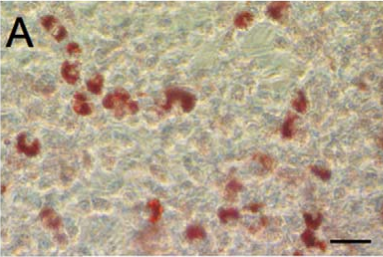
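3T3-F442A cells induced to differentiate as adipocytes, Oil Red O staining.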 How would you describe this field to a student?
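Many scattered cells hold clusters of deep red droplets in their cytoplasm, often forming rounded or crescent-shaped groups. The surrounding cells are flat, closely packed and unstained, with pale outlines.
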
